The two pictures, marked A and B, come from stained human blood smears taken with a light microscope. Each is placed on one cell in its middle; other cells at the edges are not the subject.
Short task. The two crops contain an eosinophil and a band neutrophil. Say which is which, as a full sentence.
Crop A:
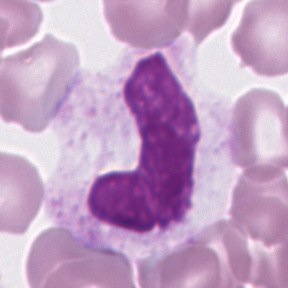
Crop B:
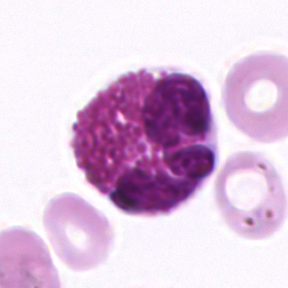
As for the pair, crop A is a band neutrophil and crop B is an eosinophil.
